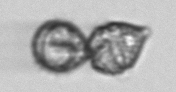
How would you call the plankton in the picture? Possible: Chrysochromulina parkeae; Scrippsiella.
I would call it Scrippsiella.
